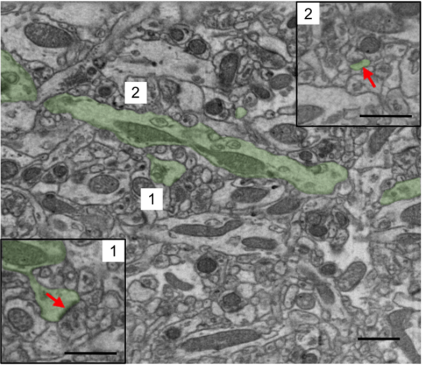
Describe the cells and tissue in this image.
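Electron micrograph of neuropil in which a long dendrite, shaded green, runs diagonally across the field and contains elongated mitochondria aligned along its length. It is surrounded by densely packed small profiles of axons, boutons and other processes, many holding round mitochondria.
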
